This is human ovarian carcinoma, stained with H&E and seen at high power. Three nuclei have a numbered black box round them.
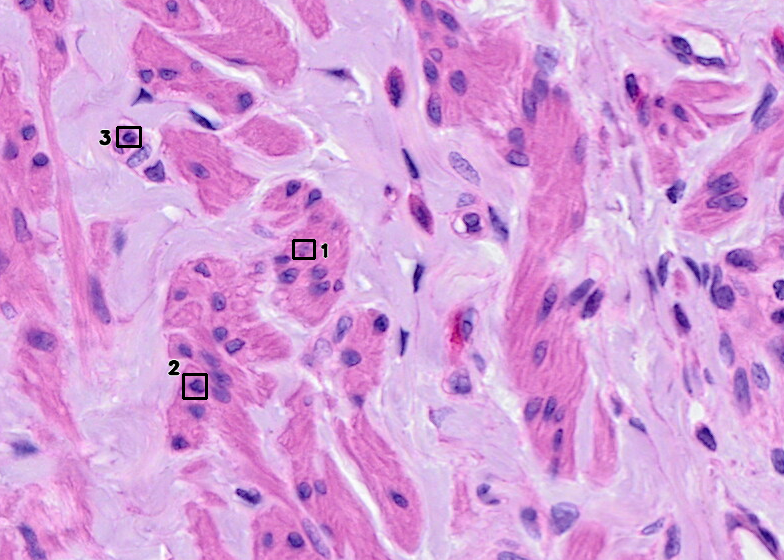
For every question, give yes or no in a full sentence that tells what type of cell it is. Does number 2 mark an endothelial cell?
No, what number 2 shows is a smooth muscle cell, not an endothelial cell.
